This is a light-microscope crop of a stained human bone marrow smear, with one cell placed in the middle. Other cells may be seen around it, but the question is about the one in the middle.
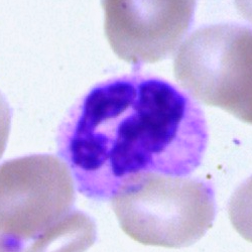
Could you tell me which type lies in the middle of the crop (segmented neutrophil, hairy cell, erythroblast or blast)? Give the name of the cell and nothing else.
segmented neutrophil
